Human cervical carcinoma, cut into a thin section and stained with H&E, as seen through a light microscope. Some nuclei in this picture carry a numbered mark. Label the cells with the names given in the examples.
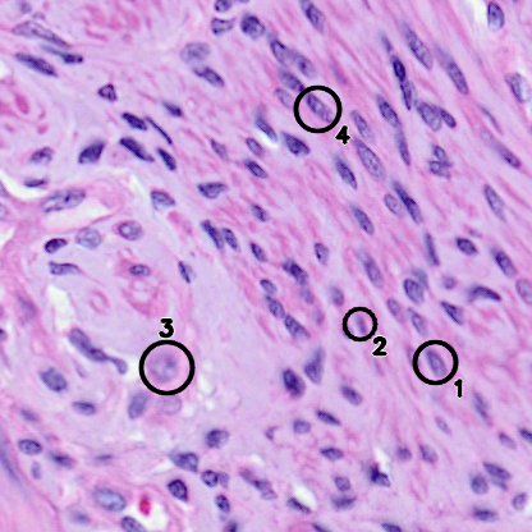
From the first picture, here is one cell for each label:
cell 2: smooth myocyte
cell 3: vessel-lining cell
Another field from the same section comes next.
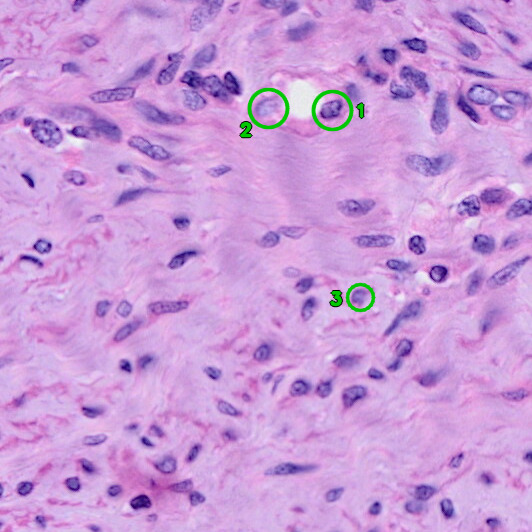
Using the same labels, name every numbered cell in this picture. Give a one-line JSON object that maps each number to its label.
{"1": "vessel-lining cell", "2": "vessel-lining cell", "3": "smooth myocyte"}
